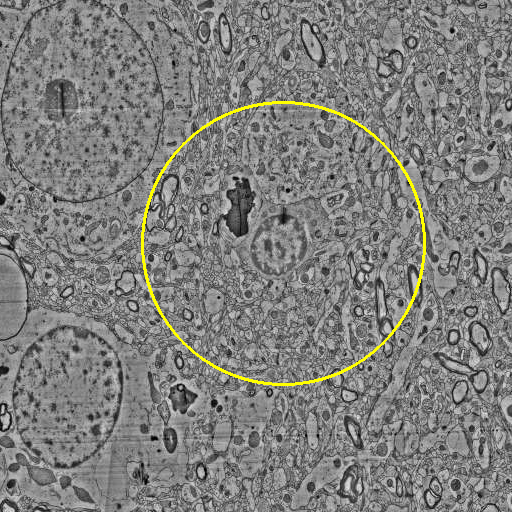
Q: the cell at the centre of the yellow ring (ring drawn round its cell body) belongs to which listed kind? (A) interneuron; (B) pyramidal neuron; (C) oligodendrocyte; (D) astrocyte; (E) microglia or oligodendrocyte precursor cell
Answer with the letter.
C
